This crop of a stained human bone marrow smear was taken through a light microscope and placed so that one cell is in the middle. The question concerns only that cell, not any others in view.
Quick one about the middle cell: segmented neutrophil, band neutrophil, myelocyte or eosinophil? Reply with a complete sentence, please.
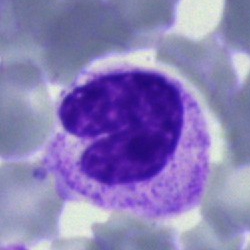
The crop shows a band neutrophil in its centre.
